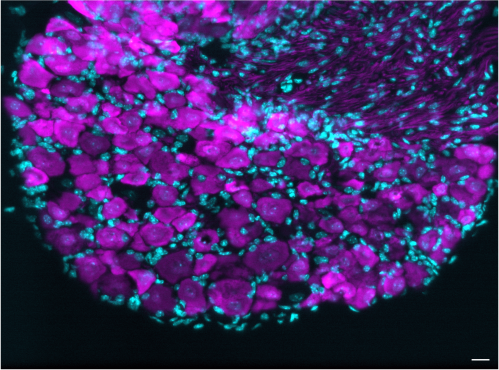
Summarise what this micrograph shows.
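A ganglion in which many large, rounded neuron cell bodies fill the field, most of them brightly magenta throughout their cytoplasm. Numerous small cyan nuclei are crowded in the narrow spaces between and around the large cell bodies, and a band of magenta fibres runs along one edge.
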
